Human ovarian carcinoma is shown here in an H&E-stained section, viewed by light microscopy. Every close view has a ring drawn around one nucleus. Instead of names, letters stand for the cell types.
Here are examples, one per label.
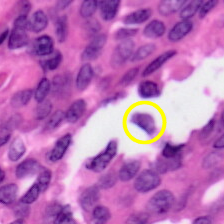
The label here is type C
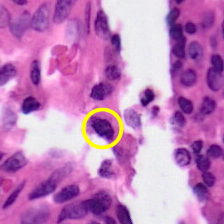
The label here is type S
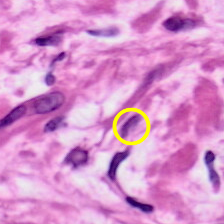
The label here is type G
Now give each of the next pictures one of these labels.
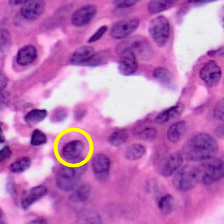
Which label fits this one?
type S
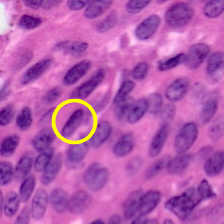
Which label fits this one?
type C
